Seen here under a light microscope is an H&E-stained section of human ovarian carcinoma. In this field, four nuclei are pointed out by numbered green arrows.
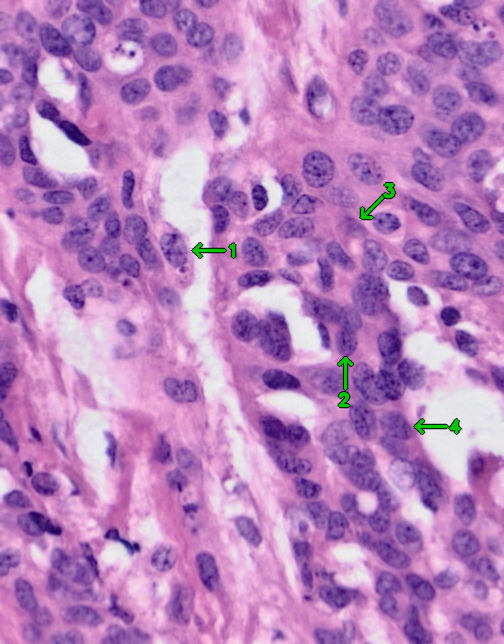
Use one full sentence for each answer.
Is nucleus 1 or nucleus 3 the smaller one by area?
With nucleus 1 about 2 times its size, nucleus 3 is the smaller of the two.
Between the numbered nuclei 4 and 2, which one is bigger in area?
At about 2 times the area of nucleus 2, nucleus 4 is the larger of the two.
